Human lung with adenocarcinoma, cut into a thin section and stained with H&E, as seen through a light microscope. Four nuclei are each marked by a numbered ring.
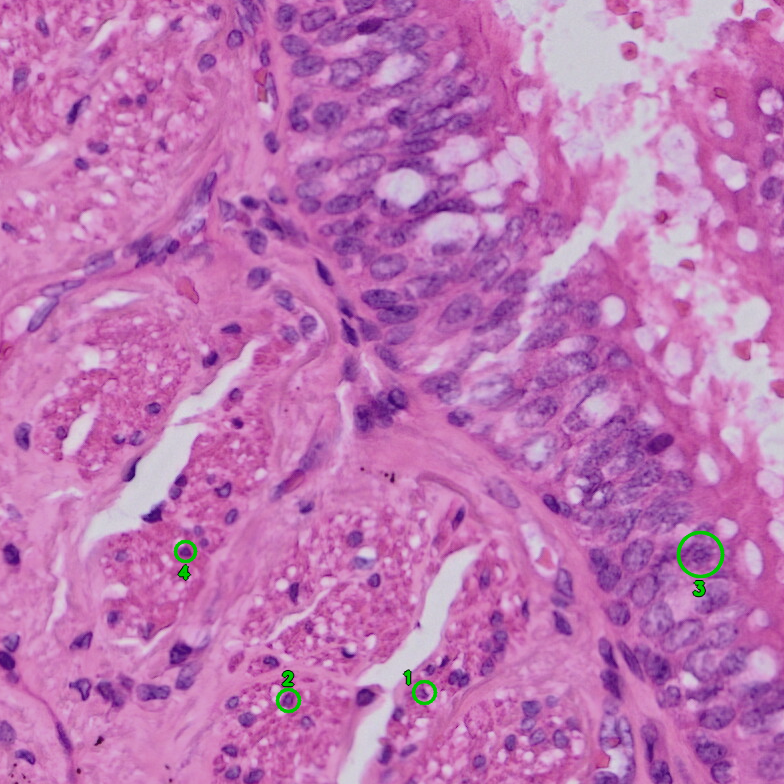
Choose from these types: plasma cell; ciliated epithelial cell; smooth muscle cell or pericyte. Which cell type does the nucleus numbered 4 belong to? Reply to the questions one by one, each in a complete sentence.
Identified as a smooth muscle cell or pericyte is the cell bearing the number 4.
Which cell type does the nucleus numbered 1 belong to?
Cell 1 in the field is a smooth muscle cell or pericyte.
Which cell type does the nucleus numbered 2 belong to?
The nucleus labelled 2 belongs to a smooth muscle cell or pericyte.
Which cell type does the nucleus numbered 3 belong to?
The cell whose nucleus carries the number 3 is a ciliated epithelial cell.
